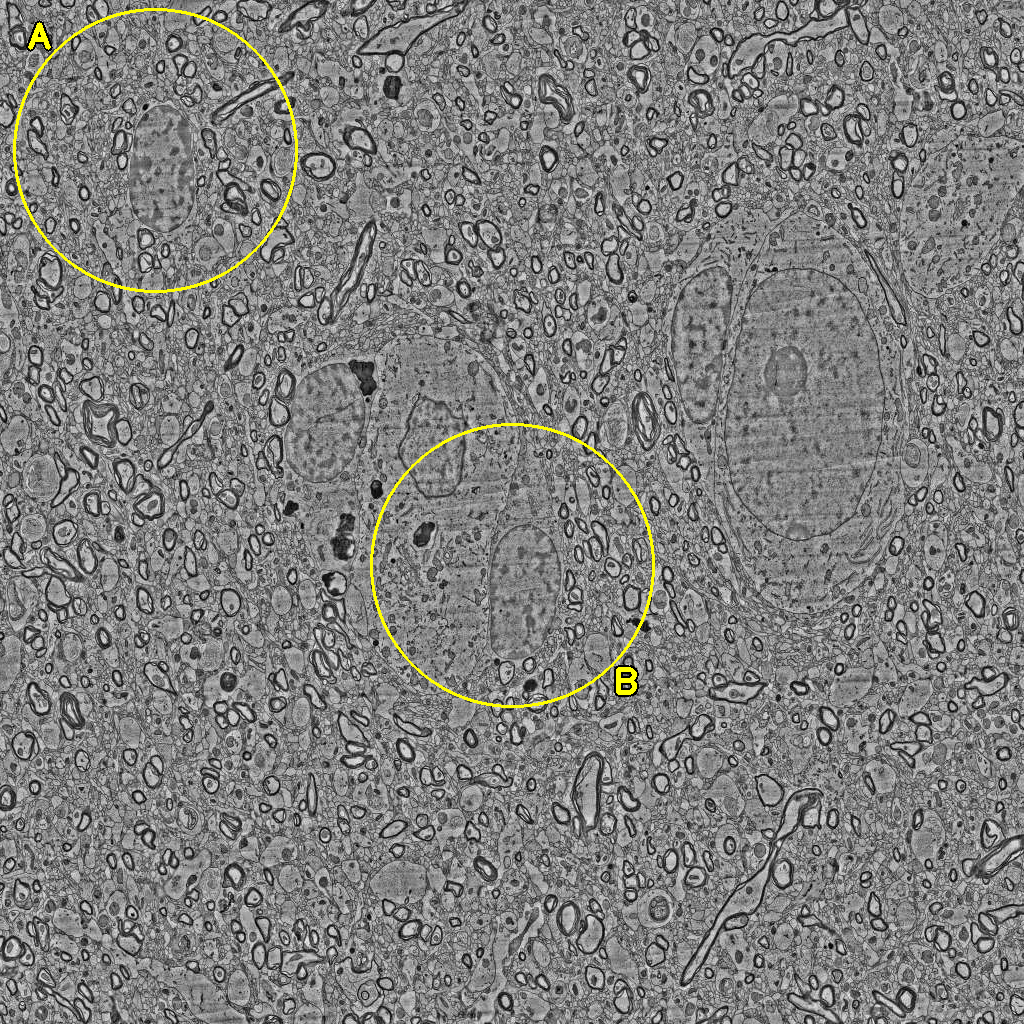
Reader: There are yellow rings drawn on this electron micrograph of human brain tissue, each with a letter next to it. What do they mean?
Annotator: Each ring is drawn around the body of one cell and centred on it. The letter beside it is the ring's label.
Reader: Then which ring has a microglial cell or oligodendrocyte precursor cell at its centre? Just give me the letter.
A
